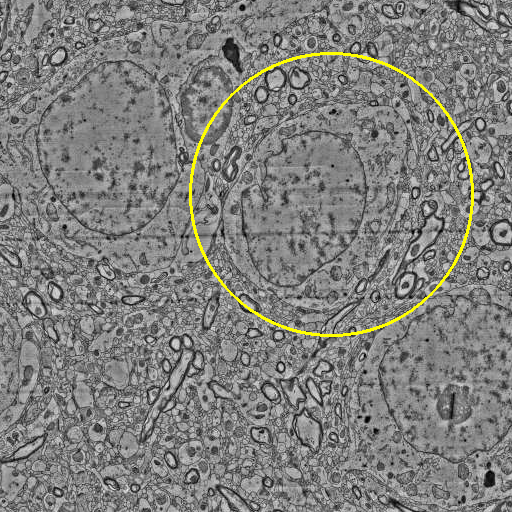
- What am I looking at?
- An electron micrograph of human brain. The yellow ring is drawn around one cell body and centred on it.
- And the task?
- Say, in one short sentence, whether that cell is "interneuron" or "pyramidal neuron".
The cell in the middle of the ring is a pyramidal neuron.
